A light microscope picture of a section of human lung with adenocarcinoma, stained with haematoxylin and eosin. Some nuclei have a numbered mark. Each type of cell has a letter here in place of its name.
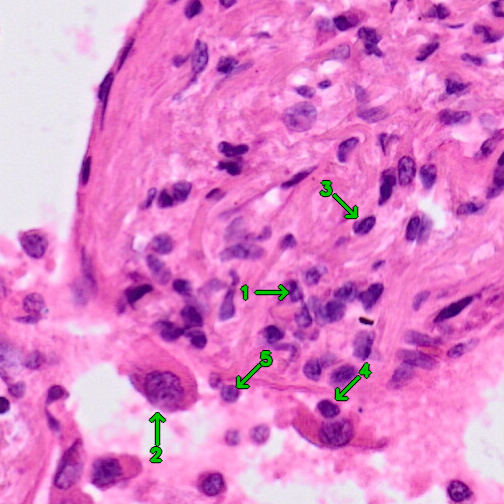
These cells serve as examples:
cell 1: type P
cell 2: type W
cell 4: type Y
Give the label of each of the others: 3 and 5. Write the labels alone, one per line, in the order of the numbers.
type Y
type Y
